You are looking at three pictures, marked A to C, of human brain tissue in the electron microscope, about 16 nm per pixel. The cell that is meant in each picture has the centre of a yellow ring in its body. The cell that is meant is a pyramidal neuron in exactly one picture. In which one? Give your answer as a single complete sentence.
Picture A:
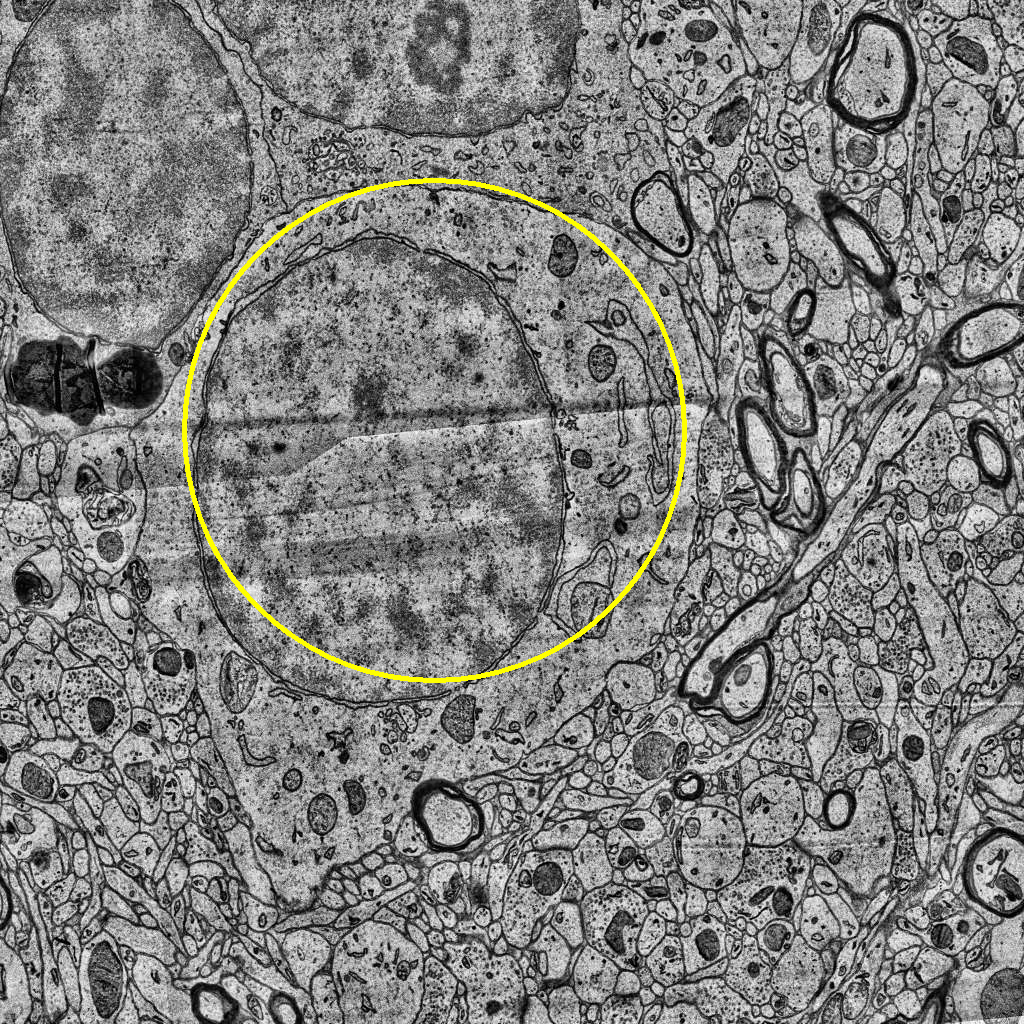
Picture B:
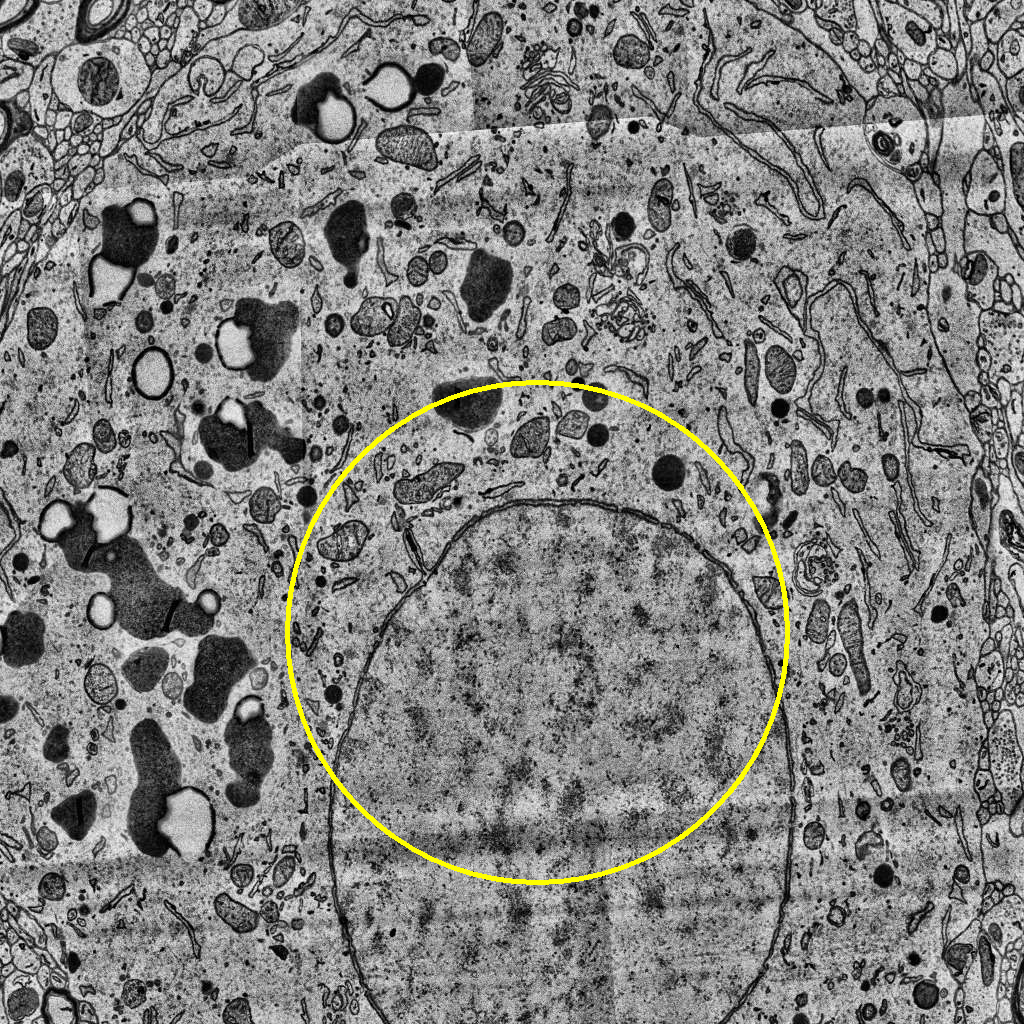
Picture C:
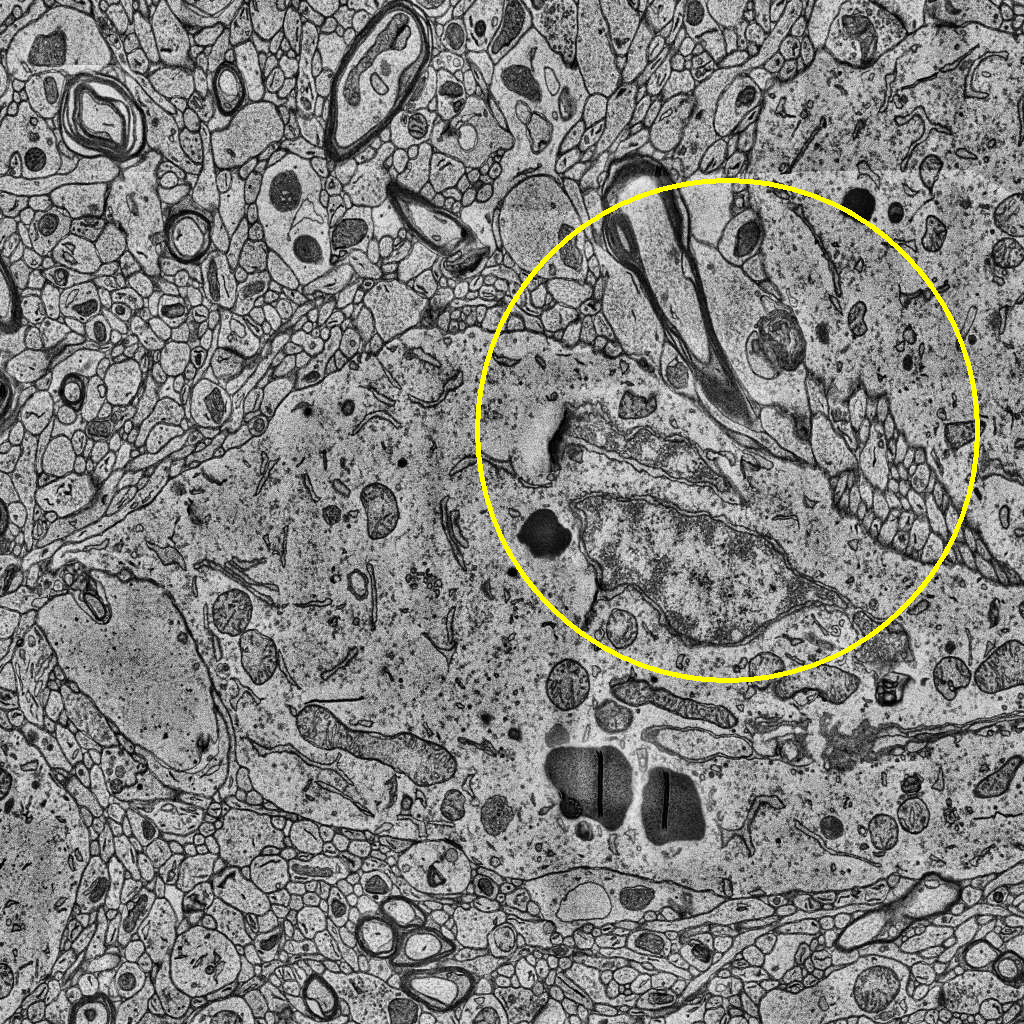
Picture B is the one that shows the pyramidal neuron.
